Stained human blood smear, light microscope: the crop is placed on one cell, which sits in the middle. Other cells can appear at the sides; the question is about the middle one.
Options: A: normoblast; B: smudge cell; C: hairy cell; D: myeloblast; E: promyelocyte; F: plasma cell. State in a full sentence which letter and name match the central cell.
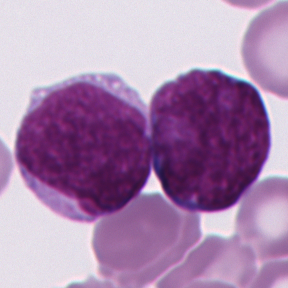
Located in the middle of the crop is a myeloblast, and option D is therefore correct.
